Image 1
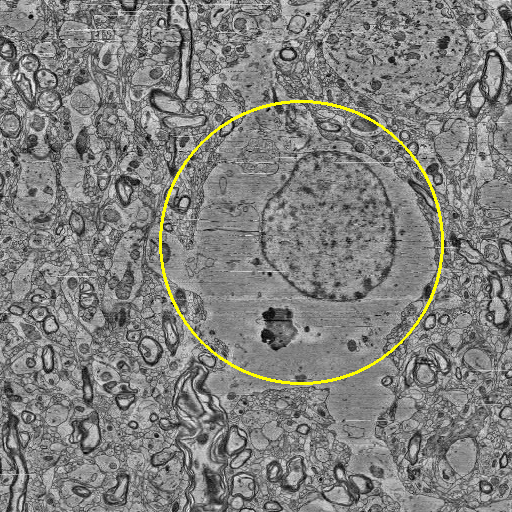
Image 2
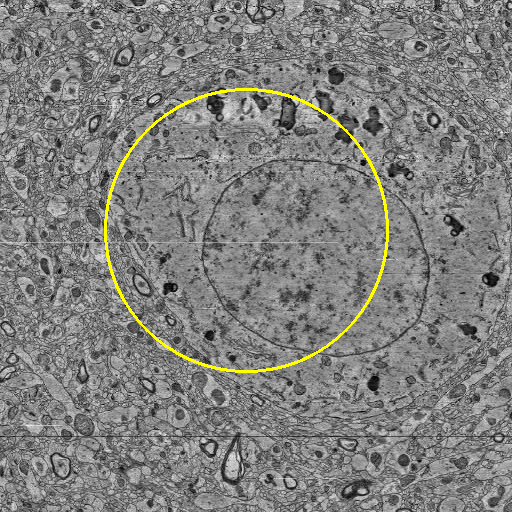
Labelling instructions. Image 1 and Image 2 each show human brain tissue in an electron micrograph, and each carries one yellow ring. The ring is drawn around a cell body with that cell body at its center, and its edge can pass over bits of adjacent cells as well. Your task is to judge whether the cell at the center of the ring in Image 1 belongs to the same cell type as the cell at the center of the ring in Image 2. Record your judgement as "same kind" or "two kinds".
two kinds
